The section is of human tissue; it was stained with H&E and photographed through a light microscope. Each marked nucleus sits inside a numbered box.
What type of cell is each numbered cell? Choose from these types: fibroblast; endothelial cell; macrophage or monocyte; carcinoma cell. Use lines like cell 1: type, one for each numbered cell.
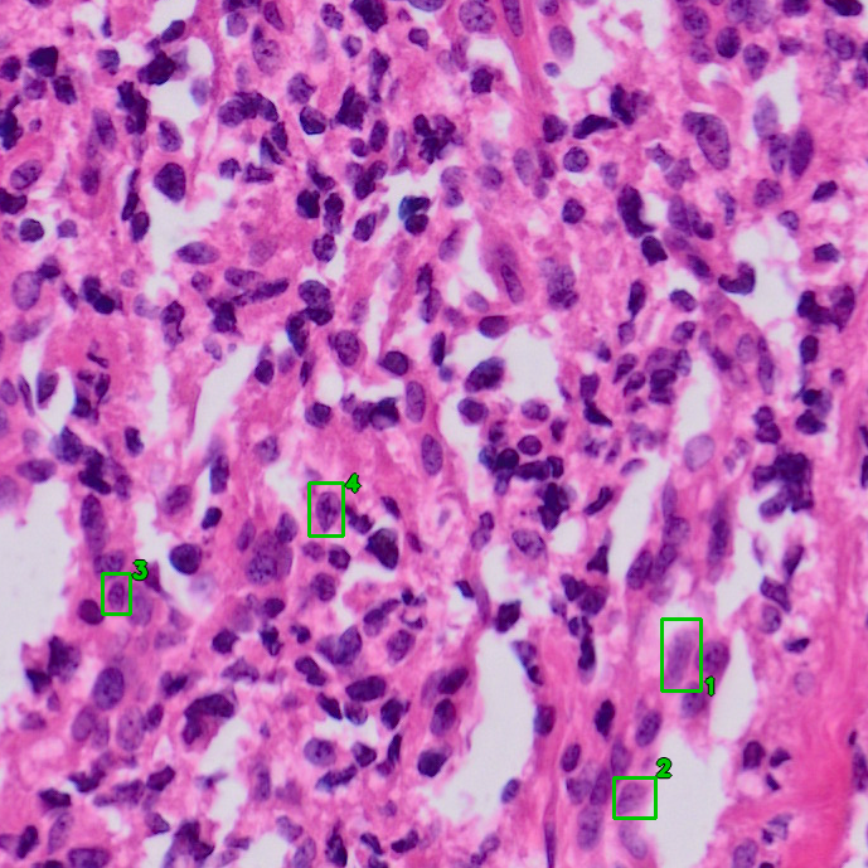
cell 1: carcinoma cell
cell 2: carcinoma cell
cell 3: carcinoma cell
cell 4: macrophage or monocyte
